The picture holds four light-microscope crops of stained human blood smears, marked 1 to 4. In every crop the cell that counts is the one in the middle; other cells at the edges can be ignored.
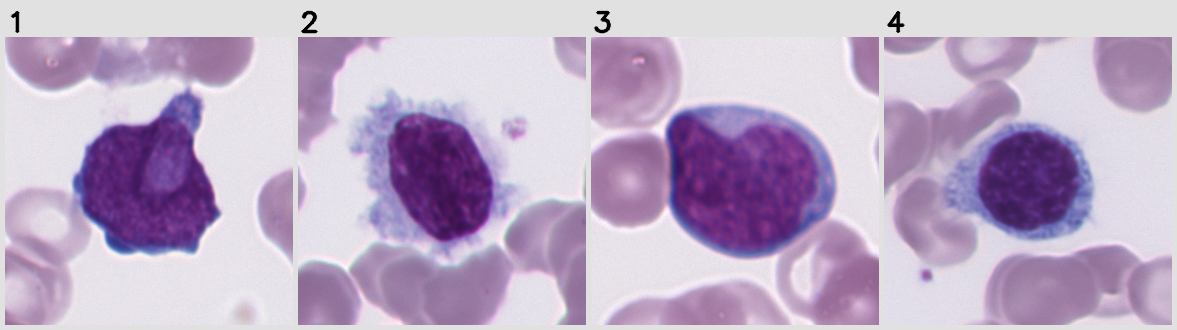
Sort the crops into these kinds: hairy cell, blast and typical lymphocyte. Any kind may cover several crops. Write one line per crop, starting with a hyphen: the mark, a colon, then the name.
- 1: blast
- 2: hairy cell
- 3: blast
- 4: typical lymphocyte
